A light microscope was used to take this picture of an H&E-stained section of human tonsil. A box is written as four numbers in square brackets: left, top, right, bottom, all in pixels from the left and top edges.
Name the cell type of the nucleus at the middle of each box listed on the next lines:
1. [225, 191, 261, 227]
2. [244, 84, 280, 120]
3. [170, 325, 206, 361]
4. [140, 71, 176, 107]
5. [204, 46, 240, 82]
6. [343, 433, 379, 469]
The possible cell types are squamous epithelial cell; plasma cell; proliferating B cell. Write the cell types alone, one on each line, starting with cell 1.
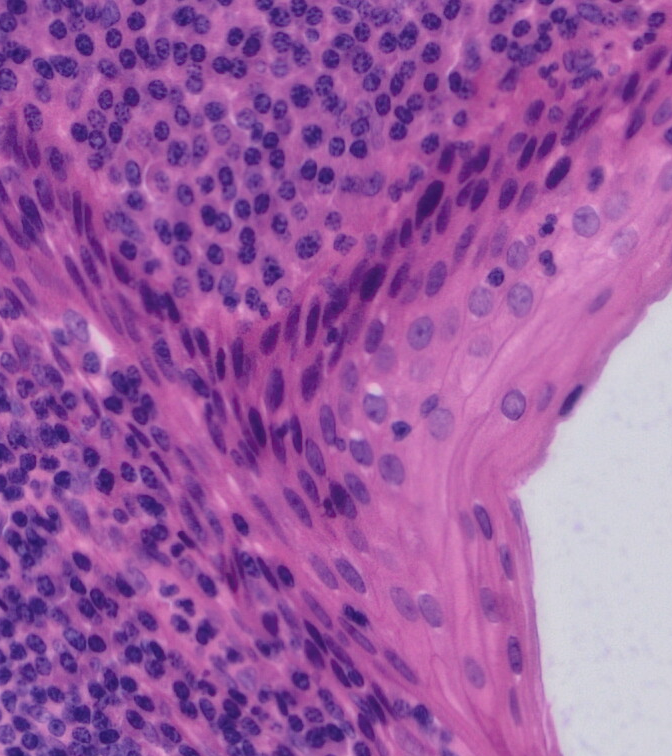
plasma cell
plasma cell
squamous epithelial cell
plasma cell
plasma cell
squamous epithelial cell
